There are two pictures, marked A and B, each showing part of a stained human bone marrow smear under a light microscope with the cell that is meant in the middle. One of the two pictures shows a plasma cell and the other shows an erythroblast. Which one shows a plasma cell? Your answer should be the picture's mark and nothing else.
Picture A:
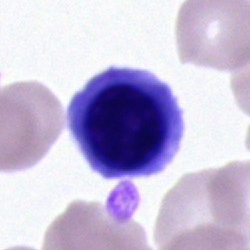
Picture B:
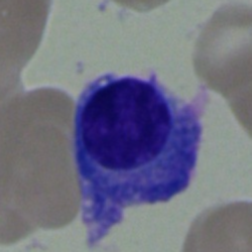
B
